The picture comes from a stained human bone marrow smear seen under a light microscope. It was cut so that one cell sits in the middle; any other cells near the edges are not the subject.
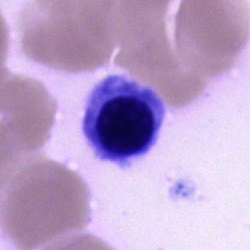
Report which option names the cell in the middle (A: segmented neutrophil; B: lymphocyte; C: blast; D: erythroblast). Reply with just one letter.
D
